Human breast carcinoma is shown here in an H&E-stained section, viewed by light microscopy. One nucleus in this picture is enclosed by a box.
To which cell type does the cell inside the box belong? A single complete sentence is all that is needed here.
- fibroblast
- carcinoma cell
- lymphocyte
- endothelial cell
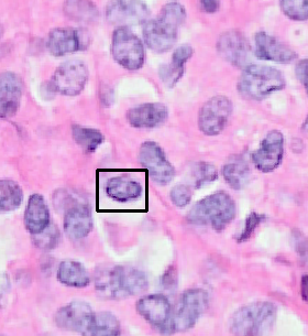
Within this tissue, the cell inside the box is a carcinoma cell.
